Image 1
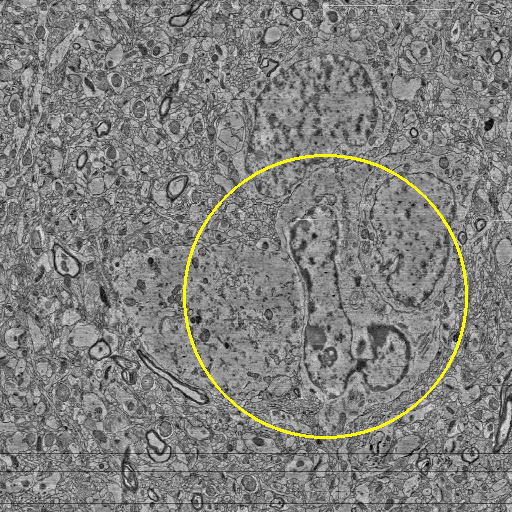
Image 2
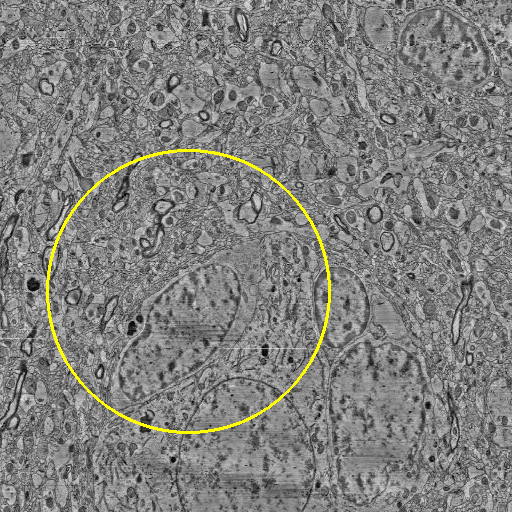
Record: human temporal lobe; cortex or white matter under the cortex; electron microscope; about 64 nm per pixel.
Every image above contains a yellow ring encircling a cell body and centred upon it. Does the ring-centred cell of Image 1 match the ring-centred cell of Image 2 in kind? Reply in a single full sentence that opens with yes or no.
Yes, the cell at the ring's centre in Image 1 is the same kind as that in Image 2.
